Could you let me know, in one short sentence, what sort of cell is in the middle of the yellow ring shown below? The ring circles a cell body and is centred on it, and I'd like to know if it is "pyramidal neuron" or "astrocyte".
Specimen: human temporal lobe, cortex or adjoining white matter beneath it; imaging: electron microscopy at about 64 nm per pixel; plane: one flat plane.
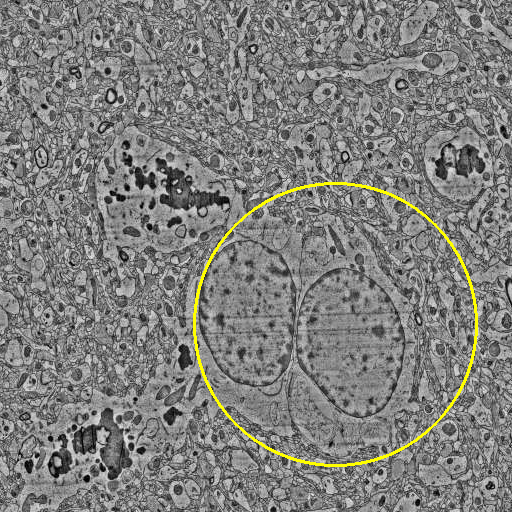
The ring circles the cell body of an astrocyte.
